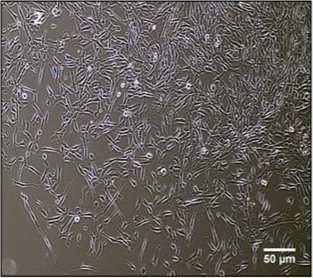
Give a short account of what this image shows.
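Adherent monolayer culture of cells with fibroblast-like morphology. Most cells are elongated and spindle-shaped, with slender tapering ends and a slightly thicker central body. They lie flat on the surface at subconfluent density, many aligned in loose parallel streams. Scattered among them are a few small, round, bright refractile cells. Gaps of empty substrate remain between the cells.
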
